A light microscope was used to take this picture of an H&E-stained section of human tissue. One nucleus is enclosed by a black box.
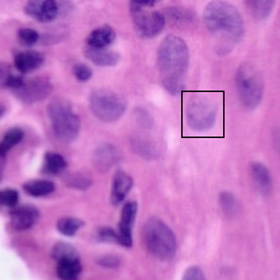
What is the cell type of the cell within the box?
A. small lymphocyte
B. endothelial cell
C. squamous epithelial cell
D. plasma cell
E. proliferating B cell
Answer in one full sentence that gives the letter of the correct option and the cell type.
As stated in option C, the cell within the box is a squamous epithelial cell.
